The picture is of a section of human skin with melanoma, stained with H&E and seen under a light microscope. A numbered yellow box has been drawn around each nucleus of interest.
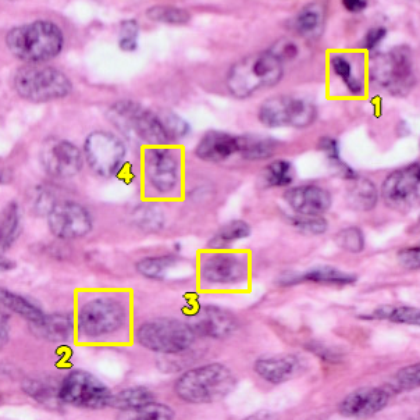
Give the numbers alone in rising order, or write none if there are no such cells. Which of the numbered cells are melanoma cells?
2, 3, 4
